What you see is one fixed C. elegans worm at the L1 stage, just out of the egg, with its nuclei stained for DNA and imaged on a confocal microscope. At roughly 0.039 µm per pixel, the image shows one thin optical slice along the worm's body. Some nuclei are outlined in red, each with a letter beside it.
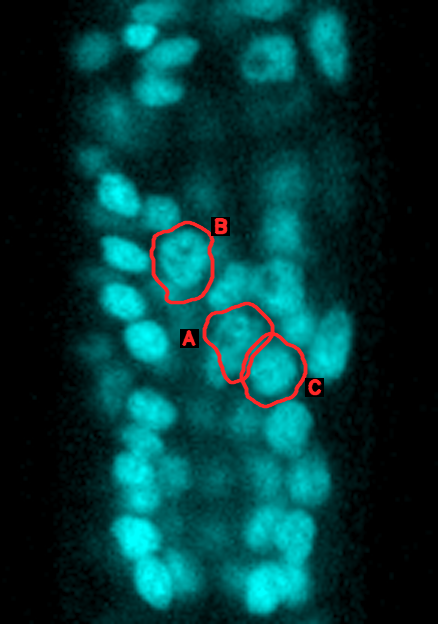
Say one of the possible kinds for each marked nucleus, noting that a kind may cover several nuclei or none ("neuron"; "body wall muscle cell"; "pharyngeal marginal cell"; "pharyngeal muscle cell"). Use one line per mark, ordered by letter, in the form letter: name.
A: pharyngeal marginal cell
B: pharyngeal muscle cell
C: neuron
